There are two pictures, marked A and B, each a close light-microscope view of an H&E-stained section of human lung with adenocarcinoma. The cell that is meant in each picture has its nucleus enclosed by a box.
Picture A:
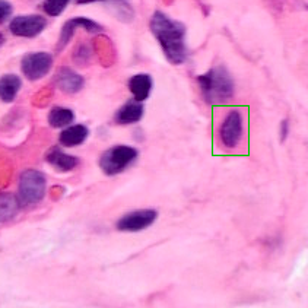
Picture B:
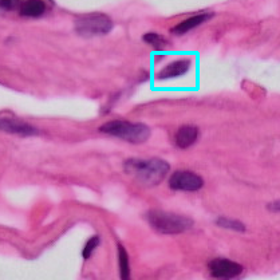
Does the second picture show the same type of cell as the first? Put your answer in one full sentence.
No. Picture A shows a mast cell, but picture B shows a type I pneumocyte.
